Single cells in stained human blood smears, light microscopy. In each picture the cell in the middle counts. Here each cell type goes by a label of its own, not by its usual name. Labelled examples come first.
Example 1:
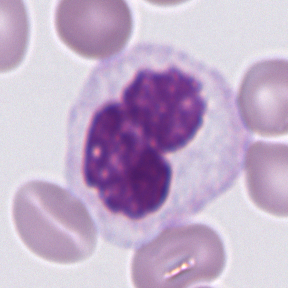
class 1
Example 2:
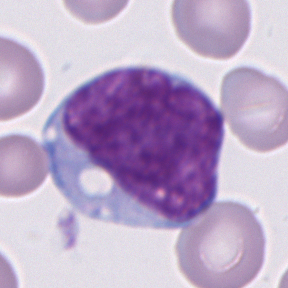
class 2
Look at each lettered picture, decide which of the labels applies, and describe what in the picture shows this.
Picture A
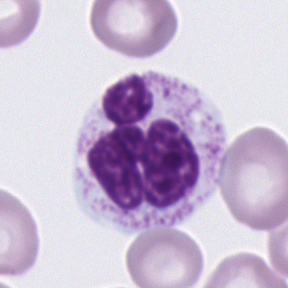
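class 1: The nucleus is divided into three lobes.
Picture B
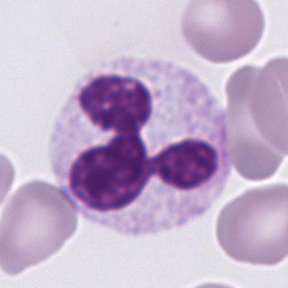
class 1: The nucleus is split into three lobes.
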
